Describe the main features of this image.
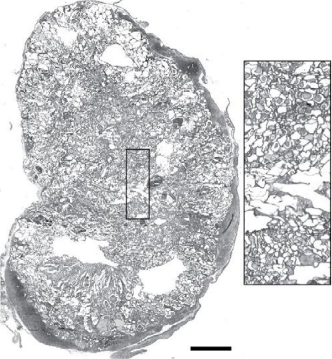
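The organ outline is enlarged and somewhat irregular, and throughout the section the tissue is interrupted by numerous round to oval empty spaces of widely varying size. These cysts lie densely from the outer edge inward toward the centre, leaving only thin strands of tissue between them. Near the centre there are larger irregular cavities. The enlarged strip beside the section shows the same region at higher magnification, where closely packed dilated lumens with thin walls replace the normal compact tissue texture.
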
